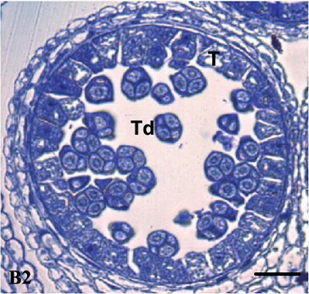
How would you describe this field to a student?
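This is a cross-section through an anther locule, with the developing spores in the centre and the layered anther wall around them. The centre holds many separate clusters of four rounded cells, each cell with a dense blue cytoplasm, and the clusters lie loosely in a clear space. Lining the locule is a continuous ring of large, roughly rectangular tapetum cells with granular, deeply blue cytoplasm.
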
